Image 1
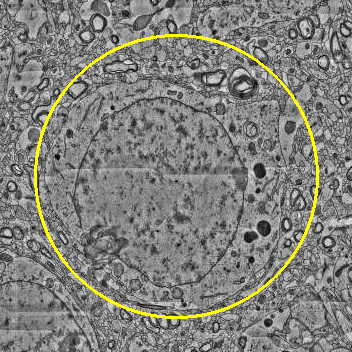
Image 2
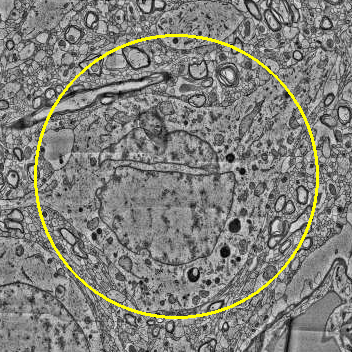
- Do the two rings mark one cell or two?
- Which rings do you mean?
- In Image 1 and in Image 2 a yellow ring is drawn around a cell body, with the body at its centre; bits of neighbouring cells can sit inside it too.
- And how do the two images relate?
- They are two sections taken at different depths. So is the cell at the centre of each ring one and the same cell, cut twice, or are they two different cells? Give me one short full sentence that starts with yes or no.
Yes, one cell appears twice, once in each ring.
